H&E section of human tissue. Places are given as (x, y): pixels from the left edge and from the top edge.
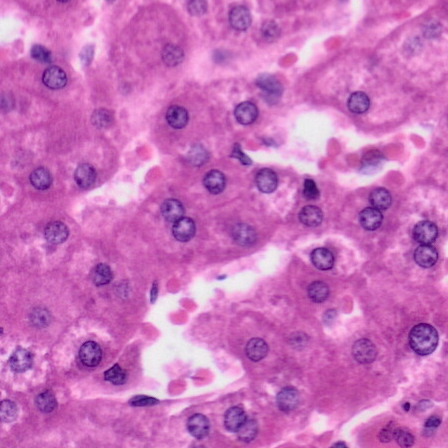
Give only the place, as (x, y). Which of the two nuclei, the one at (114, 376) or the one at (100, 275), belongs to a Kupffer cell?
(114, 376)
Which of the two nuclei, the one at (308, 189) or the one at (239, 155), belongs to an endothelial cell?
(239, 155)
